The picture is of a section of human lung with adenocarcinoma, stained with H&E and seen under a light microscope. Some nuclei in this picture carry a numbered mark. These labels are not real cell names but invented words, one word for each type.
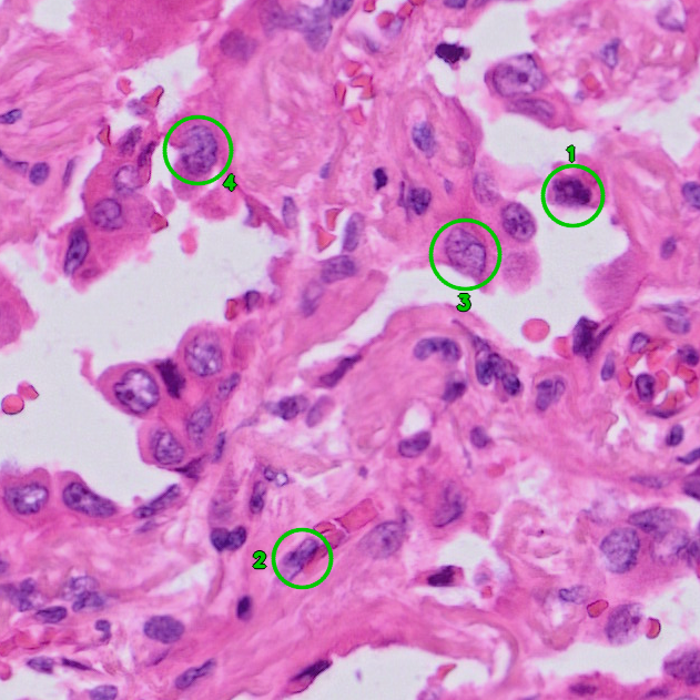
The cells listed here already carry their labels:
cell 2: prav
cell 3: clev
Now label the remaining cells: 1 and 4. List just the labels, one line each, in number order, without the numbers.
clev
clev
